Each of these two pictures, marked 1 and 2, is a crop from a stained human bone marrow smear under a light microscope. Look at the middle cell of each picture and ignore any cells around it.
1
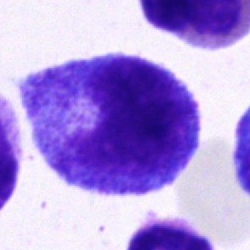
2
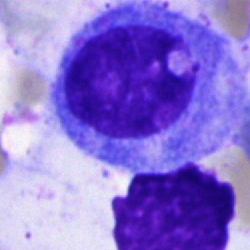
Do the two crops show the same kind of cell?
no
